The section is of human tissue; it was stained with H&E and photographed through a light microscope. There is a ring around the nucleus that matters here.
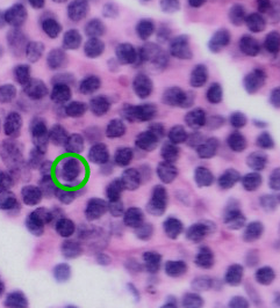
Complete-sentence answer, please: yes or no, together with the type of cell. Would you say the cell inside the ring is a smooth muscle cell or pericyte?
No, the cell inside the ring corresponds to a small lymphocyte rather than to a smooth muscle cell or pericyte.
